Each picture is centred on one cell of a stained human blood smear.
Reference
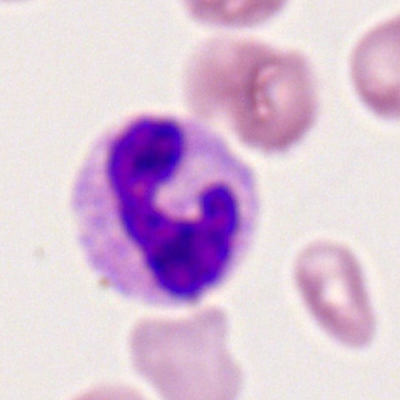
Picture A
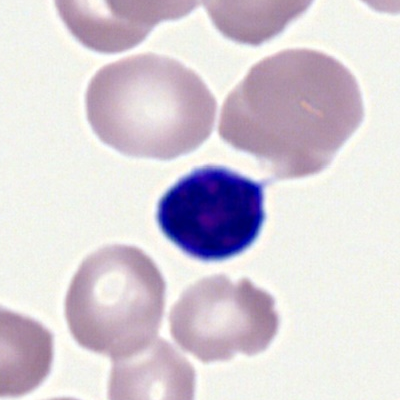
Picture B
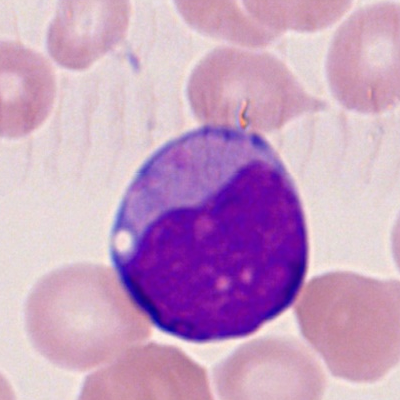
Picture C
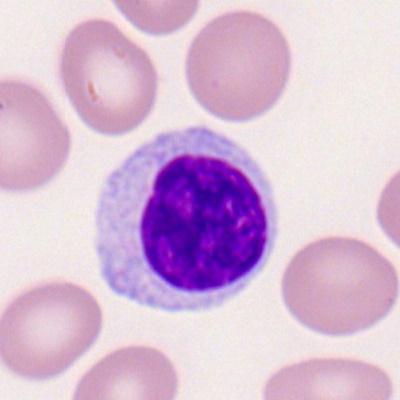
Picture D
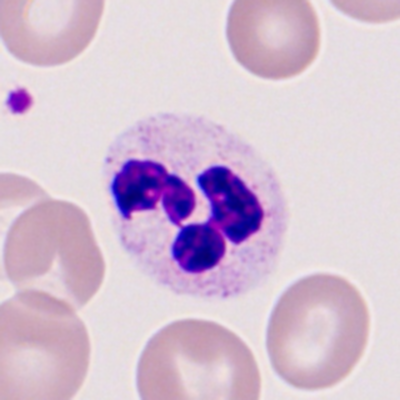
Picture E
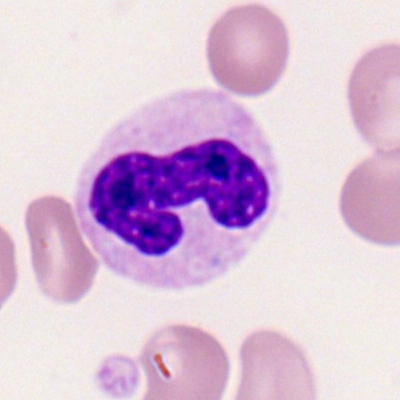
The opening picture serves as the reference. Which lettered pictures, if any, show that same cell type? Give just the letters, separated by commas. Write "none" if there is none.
D, E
